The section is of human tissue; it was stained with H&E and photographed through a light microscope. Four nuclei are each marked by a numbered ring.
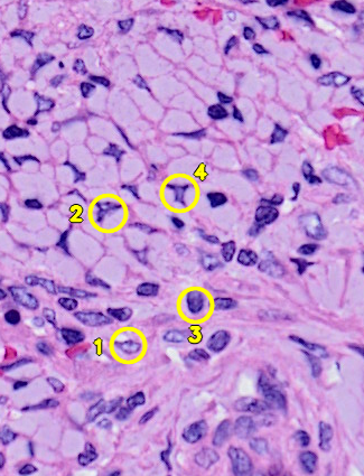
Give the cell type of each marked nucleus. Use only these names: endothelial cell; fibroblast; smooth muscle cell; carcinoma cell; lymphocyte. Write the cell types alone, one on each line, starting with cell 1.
fibroblast
fibroblast
lymphocyte
fibroblast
